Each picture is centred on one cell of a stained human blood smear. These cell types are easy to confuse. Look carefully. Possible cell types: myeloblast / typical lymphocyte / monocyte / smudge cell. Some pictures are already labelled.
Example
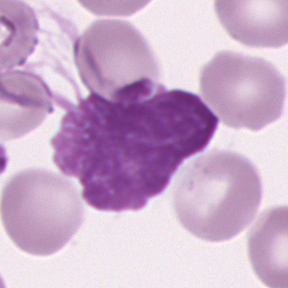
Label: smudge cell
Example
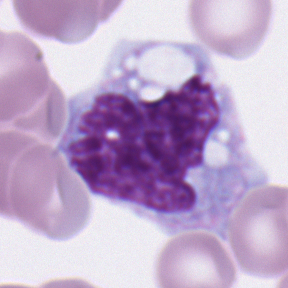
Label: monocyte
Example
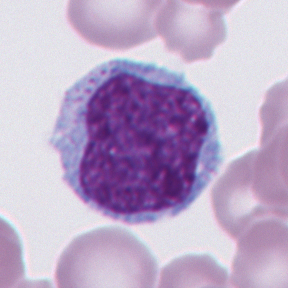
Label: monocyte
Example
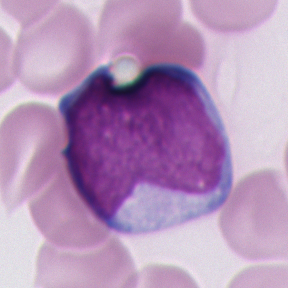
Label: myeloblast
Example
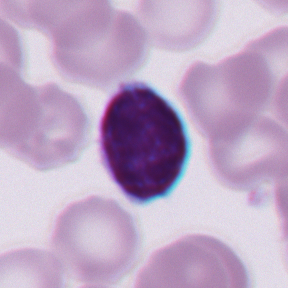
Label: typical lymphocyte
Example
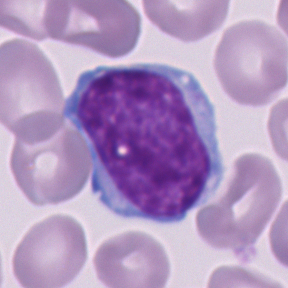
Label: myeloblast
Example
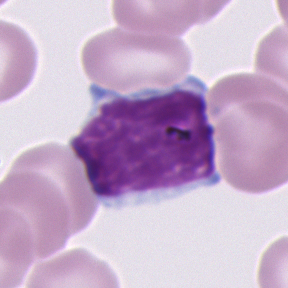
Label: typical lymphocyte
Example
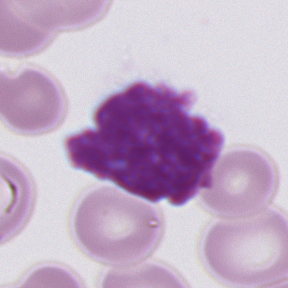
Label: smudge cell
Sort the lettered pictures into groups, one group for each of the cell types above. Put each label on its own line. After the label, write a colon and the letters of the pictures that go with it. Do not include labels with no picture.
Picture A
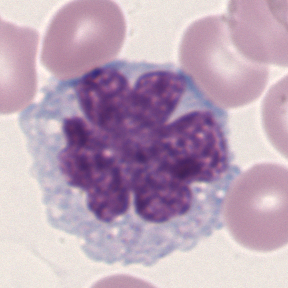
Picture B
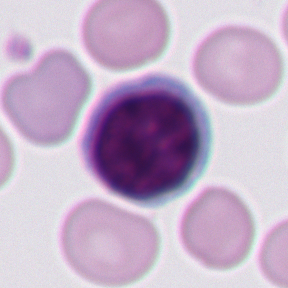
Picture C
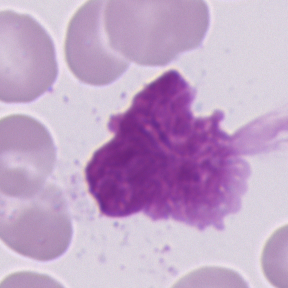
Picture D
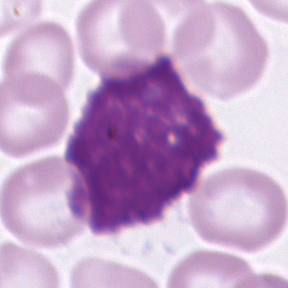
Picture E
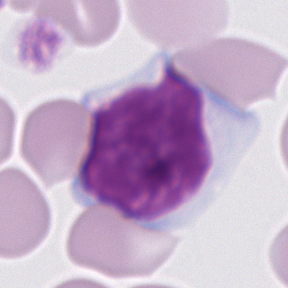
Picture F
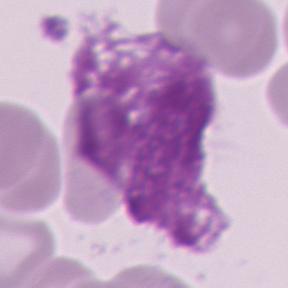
typical lymphocyte: B, E
monocyte: A
smudge cell: C, D, F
